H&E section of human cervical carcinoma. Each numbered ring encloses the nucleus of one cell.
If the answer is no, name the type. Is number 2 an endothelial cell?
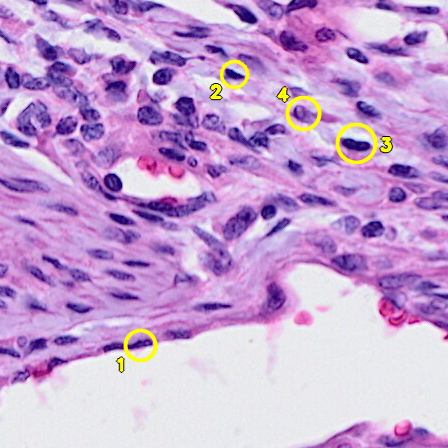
No, it is a lymphocyte.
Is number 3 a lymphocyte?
Yes.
